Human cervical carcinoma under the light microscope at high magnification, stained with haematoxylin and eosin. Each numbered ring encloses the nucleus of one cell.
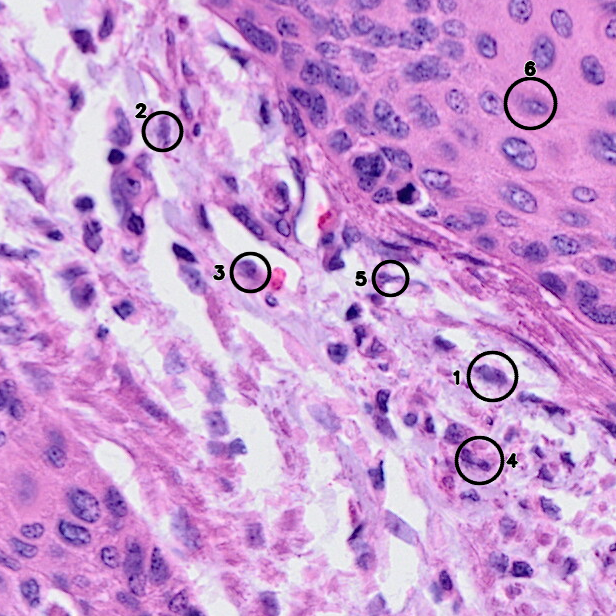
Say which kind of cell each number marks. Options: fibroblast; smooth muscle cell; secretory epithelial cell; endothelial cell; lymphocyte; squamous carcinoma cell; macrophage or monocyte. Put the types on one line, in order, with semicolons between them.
fibroblast; fibroblast; endothelial cell; fibroblast; fibroblast; squamous carcinoma cell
